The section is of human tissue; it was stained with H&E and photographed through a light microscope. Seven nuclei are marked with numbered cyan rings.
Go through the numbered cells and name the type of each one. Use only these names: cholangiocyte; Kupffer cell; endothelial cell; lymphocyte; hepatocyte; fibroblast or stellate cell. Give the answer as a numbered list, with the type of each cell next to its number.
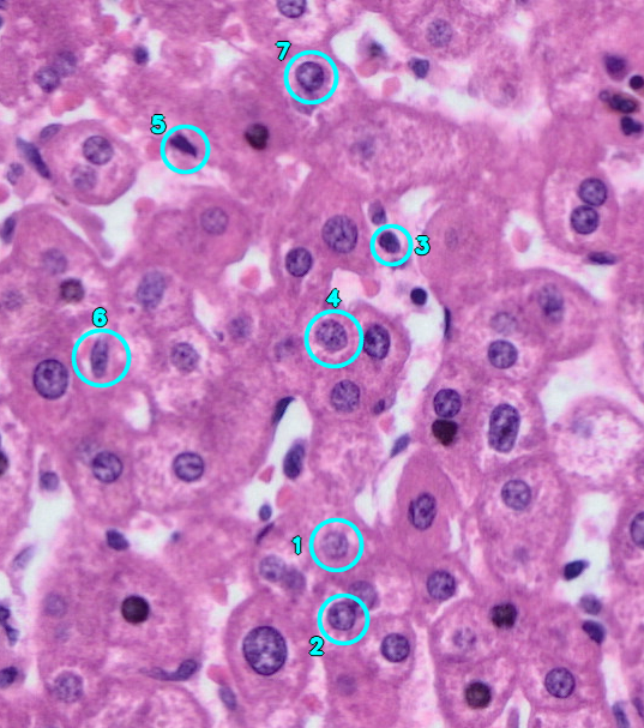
1. hepatocyte
2. hepatocyte
3. lymphocyte
4. hepatocyte
5. fibroblast or stellate cell
6. Kupffer cell
7. hepatocyte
